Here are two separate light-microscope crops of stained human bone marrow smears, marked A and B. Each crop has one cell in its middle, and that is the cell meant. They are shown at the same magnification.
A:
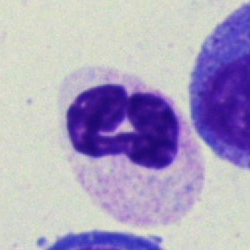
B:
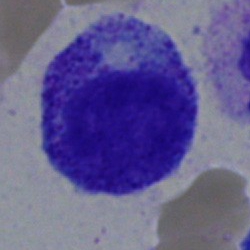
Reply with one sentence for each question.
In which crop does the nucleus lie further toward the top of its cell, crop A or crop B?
The nucleus in crop A lies further toward the top of its cell.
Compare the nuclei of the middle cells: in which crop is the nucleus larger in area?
The nucleus in crop B is larger, with about 2 times the area of the one in crop A.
